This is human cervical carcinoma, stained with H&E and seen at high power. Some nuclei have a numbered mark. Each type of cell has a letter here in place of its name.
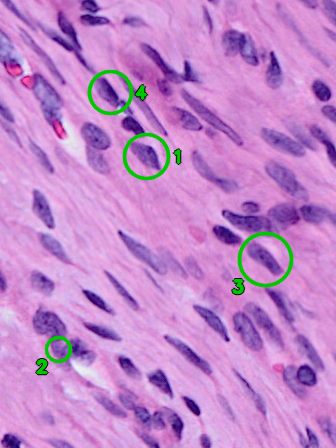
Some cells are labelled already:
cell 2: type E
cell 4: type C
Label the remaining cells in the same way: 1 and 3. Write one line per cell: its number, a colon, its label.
1: type C
3: type C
